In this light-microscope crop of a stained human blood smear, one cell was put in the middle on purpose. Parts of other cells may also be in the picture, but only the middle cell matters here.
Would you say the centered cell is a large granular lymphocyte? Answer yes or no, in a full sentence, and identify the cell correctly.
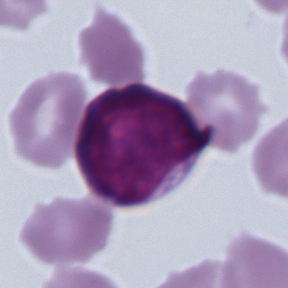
No, the cell in the middle is a myeloblast, not a large granular lymphocyte.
